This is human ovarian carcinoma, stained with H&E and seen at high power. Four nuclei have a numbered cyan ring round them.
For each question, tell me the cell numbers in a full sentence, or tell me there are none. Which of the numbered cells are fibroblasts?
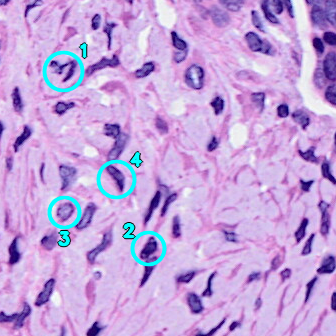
Cells that were given the numbers 1, 3 and 4 are fibroblasts.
